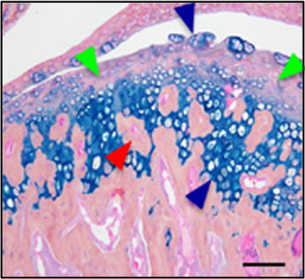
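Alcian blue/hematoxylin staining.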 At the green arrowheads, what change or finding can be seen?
Loss of articular chondrocytes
